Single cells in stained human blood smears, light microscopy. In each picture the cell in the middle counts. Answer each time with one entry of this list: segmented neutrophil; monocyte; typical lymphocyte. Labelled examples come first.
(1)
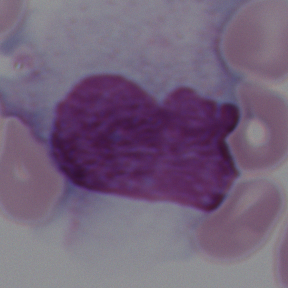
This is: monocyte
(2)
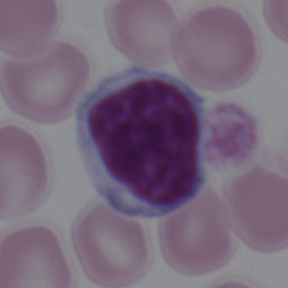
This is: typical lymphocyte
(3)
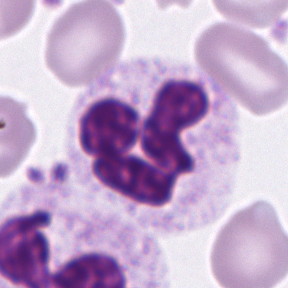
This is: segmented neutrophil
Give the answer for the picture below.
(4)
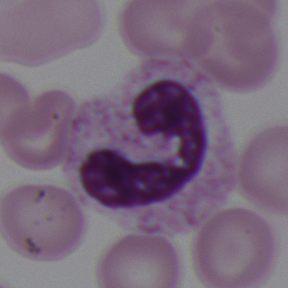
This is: segmented neutrophil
